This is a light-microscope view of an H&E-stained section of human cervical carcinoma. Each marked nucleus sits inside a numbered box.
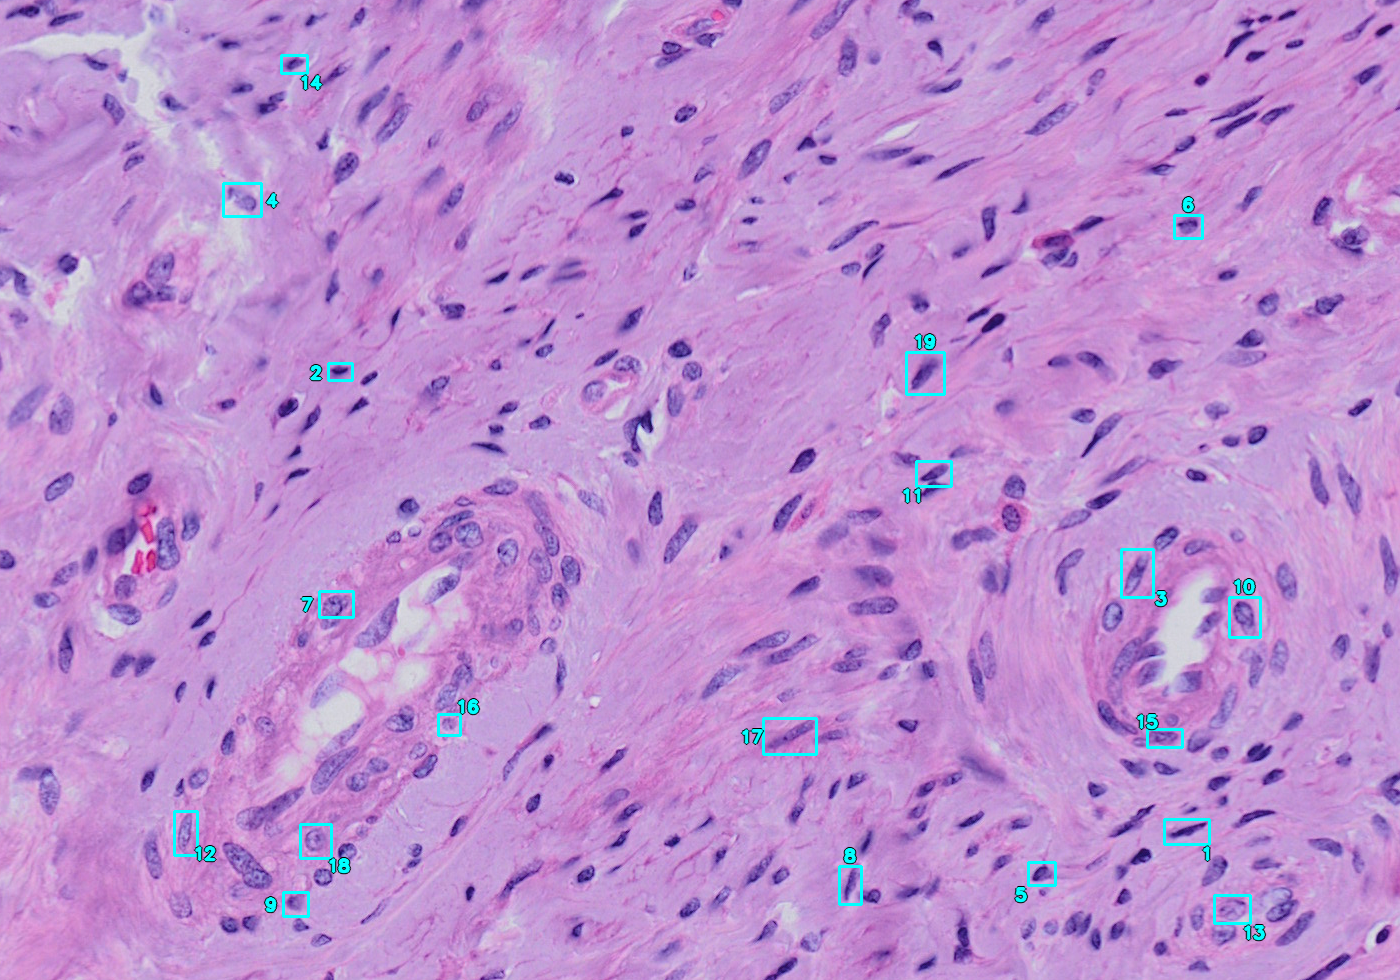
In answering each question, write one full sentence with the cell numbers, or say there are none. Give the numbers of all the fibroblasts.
The cells numbered 1, 2, 4, 5, 6, 8, 11, 14 and 19 are identified as fibroblasts.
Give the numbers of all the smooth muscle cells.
Here, the cells that carry numbers 3, 7, 9, 10, 12, 15, 16, 17 and 18 are smooth muscle cells.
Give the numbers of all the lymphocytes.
Each numbered cell falls outside the category of lymphocytes.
